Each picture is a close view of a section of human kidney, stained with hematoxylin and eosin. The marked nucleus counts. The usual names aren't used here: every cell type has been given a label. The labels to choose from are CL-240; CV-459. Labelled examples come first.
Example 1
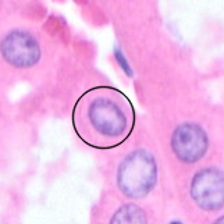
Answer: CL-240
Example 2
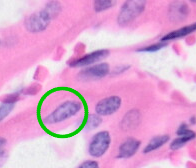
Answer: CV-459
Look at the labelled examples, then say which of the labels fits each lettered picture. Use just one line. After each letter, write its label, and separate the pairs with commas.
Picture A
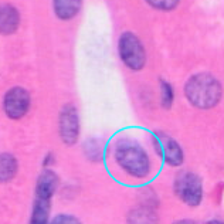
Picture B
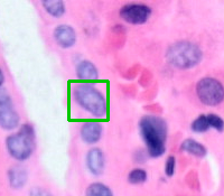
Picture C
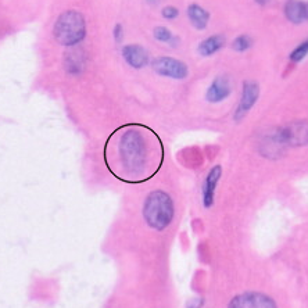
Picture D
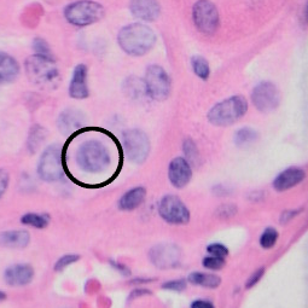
A CV-459, B CV-459, C CL-240, D CV-459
